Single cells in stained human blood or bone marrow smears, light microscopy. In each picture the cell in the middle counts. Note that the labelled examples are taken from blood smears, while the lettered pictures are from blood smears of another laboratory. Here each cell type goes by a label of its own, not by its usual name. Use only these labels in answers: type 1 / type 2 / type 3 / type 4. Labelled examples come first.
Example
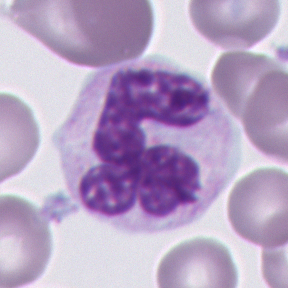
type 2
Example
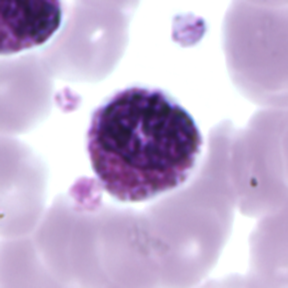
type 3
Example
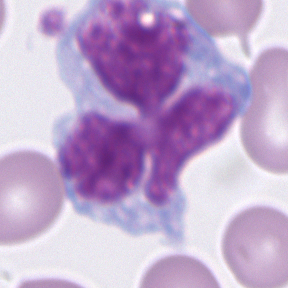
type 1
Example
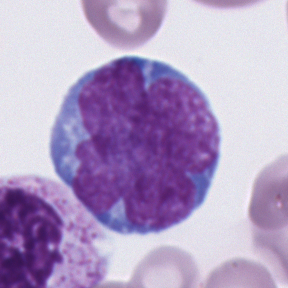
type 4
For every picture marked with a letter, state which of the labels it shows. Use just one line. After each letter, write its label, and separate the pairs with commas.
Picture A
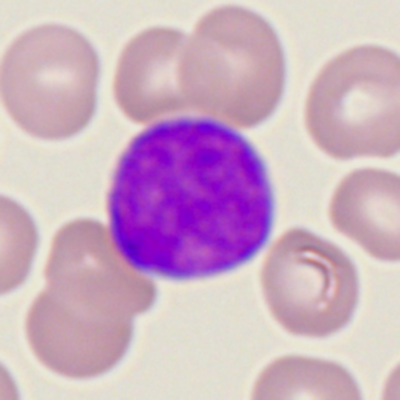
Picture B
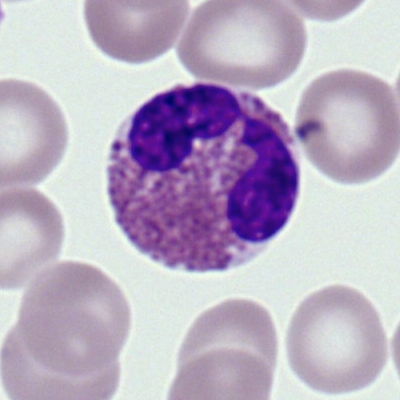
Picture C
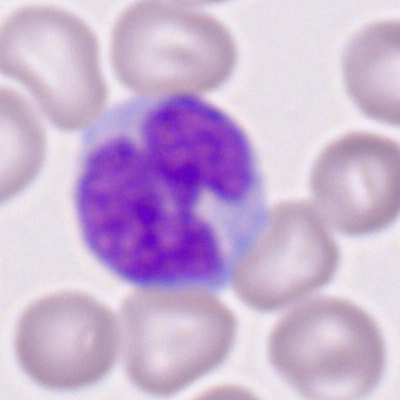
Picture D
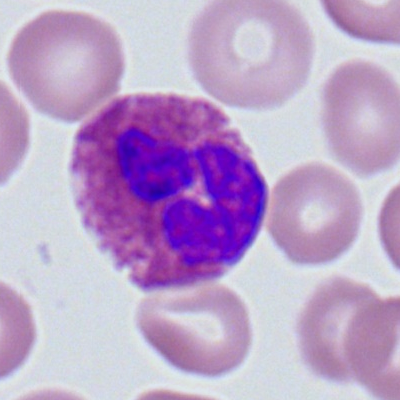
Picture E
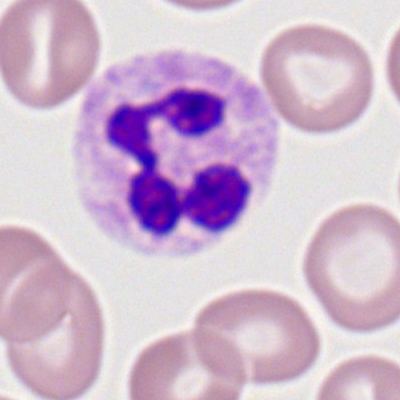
A type 4, B type 3, C type 1, D type 3, E type 2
